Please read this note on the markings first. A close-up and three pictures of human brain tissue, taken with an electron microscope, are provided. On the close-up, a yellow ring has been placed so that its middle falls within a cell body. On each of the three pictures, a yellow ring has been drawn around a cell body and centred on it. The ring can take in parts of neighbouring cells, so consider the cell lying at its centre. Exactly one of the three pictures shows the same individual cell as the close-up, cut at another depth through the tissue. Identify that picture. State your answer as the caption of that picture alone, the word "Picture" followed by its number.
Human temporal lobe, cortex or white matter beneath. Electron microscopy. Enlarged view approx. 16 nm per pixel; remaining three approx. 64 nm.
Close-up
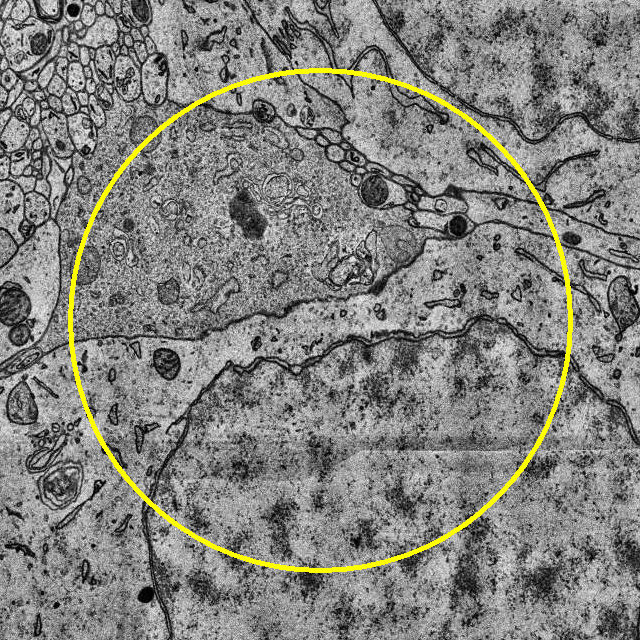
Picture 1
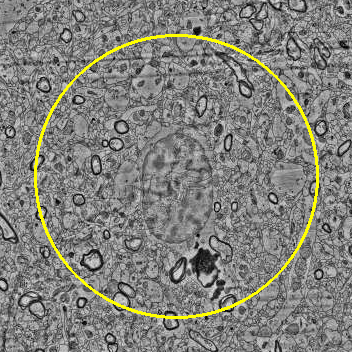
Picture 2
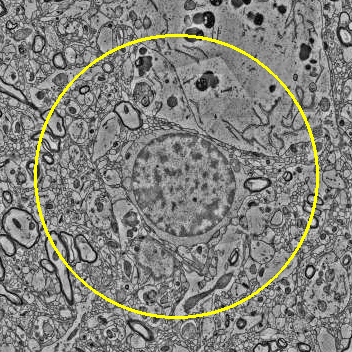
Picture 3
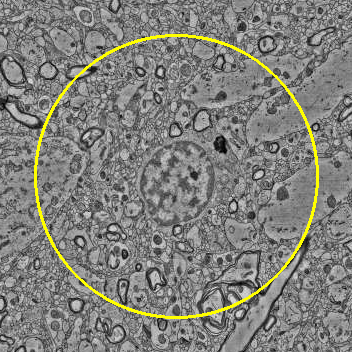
Picture 2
